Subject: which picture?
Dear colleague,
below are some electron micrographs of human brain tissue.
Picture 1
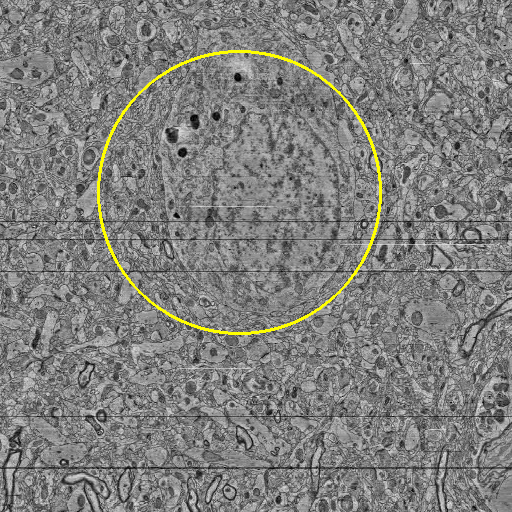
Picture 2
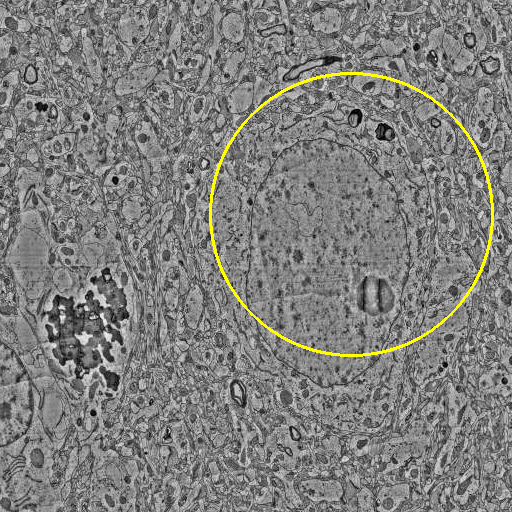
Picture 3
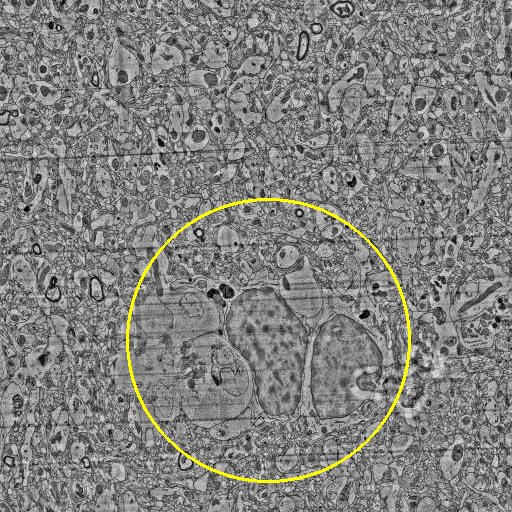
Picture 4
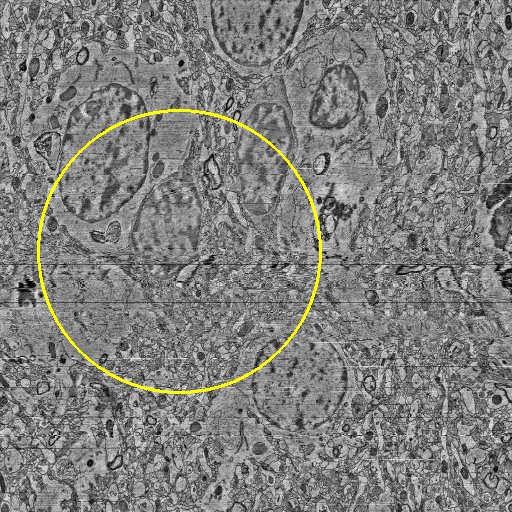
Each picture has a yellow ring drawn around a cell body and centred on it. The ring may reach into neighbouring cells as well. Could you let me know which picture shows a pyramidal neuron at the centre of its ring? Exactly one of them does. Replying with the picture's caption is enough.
Picture 2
